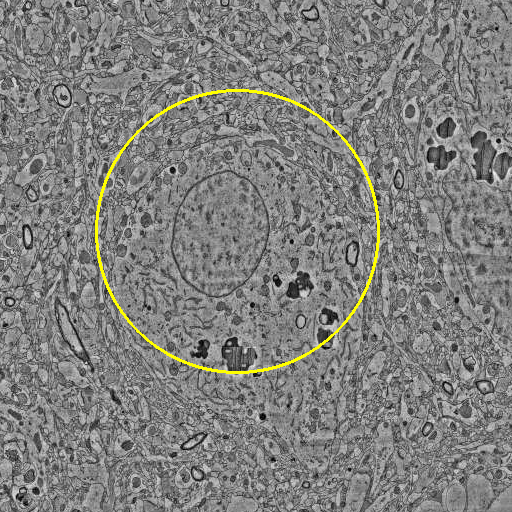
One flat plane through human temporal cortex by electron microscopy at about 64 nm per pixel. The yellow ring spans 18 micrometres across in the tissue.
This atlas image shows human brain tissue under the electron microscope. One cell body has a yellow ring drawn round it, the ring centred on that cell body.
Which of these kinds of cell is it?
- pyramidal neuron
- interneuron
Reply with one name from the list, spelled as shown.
pyramidal neuron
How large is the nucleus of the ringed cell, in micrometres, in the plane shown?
About 8 by 6 micrometres in this plane.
